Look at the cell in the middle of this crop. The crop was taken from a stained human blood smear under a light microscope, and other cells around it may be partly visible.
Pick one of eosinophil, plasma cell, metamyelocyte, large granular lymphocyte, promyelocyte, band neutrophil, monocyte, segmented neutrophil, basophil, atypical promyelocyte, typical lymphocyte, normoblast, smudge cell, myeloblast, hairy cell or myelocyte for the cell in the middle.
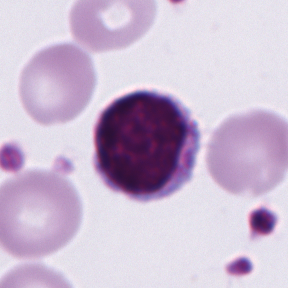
large granular lymphocyte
